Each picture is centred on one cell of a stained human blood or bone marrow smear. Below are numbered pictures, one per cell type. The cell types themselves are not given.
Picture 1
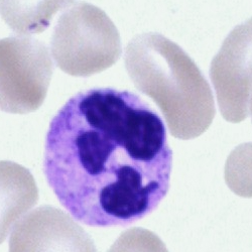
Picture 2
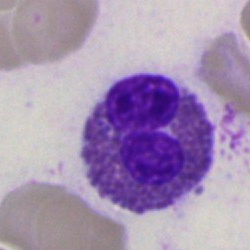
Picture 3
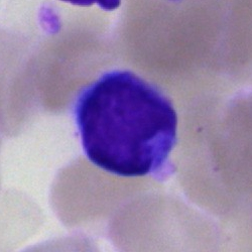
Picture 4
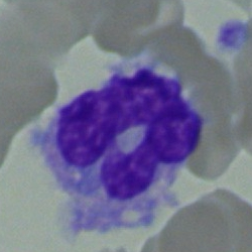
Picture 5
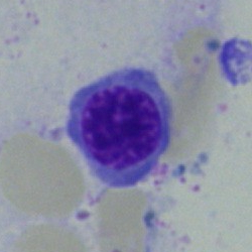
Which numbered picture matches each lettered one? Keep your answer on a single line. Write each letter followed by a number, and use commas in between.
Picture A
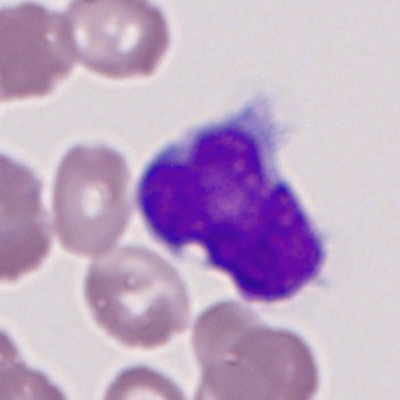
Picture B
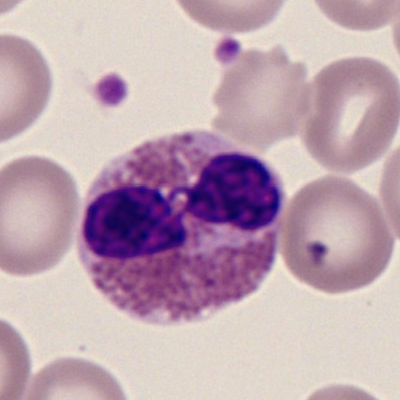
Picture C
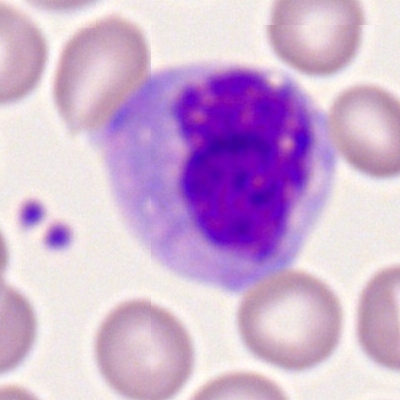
A 3, B 2, C 4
